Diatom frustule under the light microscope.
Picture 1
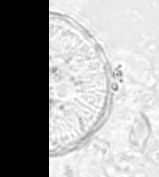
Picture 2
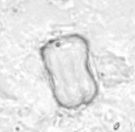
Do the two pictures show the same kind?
No: Cyclotella, then Discostella.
